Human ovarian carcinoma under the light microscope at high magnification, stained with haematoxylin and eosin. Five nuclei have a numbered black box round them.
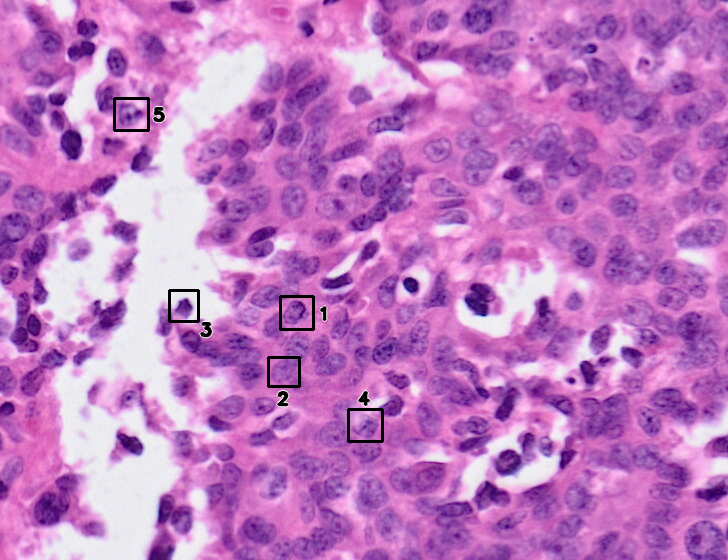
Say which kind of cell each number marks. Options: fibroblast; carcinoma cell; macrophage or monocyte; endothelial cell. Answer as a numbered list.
1. macrophage or monocyte
2. carcinoma cell
3. carcinoma cell
4. macrophage or monocyte
5. macrophage or monocyte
